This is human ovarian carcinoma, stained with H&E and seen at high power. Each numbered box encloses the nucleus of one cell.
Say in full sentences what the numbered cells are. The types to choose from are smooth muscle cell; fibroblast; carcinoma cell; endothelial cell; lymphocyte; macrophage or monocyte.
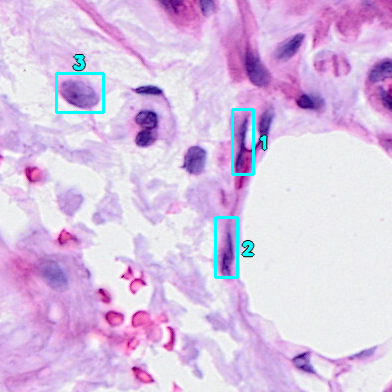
Cell 1 is an endothelial cell, cell 2 is an endothelial cell and cell 3 is a fibroblast.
